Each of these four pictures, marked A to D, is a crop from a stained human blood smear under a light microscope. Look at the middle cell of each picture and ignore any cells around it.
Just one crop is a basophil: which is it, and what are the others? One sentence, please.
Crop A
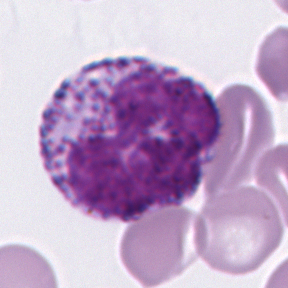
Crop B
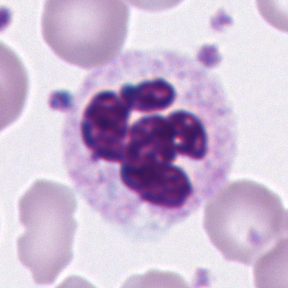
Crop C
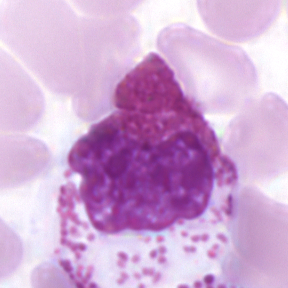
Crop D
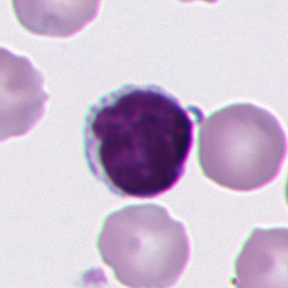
Centred in crop A is a basophil, while crop B is a segmented neutrophil, crop C is an eosinophil and crop D is a typical lymphocyte.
